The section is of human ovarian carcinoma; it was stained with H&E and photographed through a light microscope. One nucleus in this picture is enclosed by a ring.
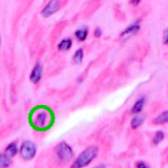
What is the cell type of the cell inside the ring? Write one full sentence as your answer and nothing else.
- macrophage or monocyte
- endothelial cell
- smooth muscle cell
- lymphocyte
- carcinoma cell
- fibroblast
Speaking plainly, the cell inside the ring is nothing other than a smooth muscle cell.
